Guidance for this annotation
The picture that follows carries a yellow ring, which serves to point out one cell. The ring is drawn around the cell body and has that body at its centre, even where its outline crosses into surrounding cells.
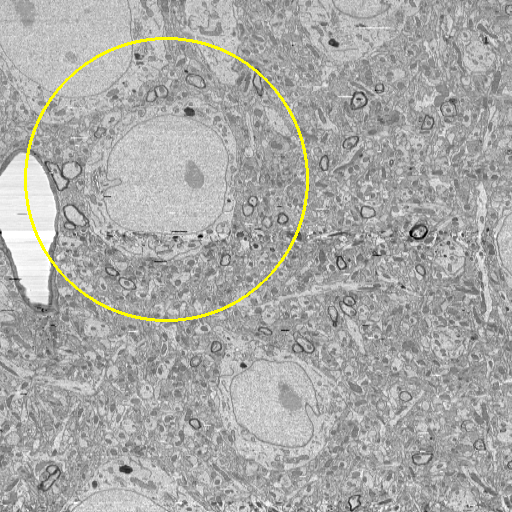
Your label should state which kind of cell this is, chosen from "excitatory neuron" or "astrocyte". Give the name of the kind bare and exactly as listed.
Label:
excitatory neuron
